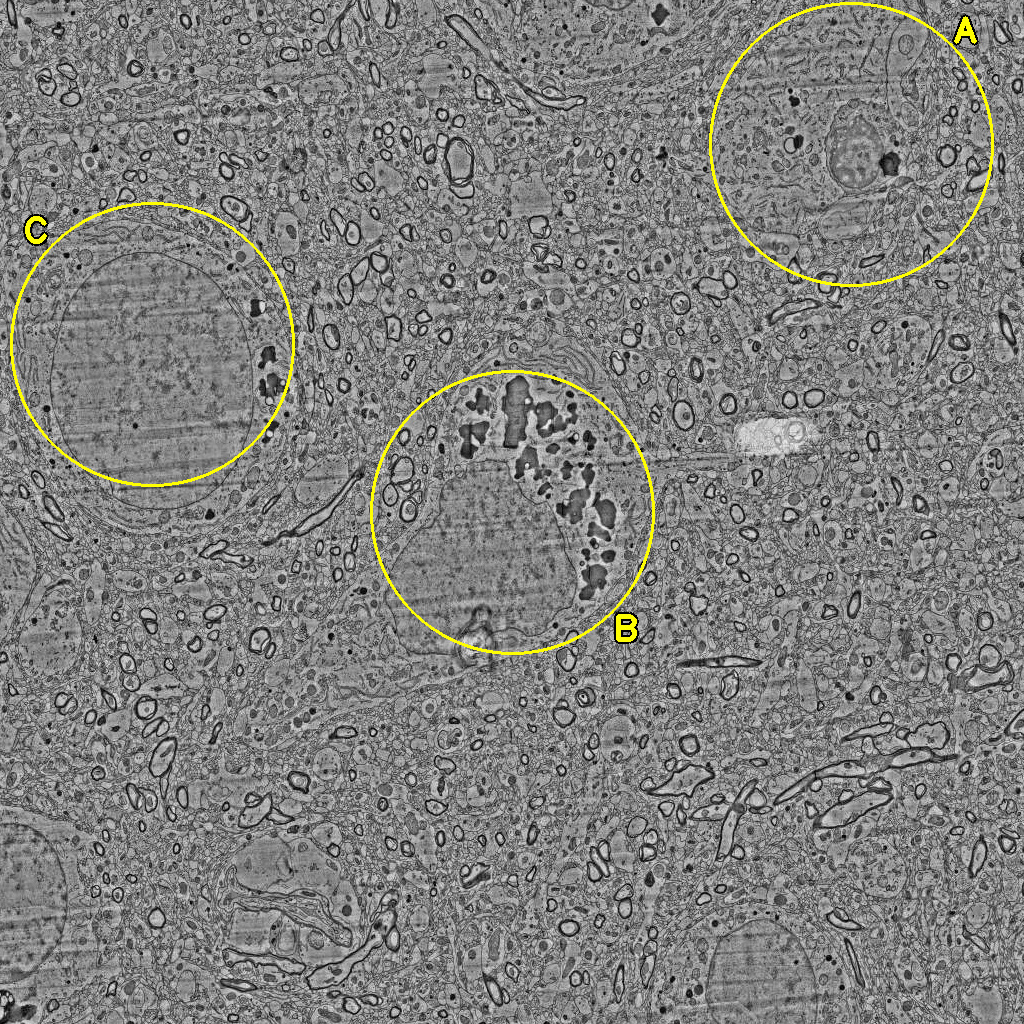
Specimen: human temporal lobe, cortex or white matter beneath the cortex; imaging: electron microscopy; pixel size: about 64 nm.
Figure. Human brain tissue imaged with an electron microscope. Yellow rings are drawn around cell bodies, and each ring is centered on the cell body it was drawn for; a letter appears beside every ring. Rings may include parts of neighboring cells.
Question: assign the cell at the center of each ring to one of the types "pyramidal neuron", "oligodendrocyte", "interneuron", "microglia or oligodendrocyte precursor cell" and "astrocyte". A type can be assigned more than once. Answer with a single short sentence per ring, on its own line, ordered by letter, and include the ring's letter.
Centered in ring A is an oligodendrocyte.
Centered in ring B is an interneuron.
Centered in ring C is a pyramidal neuron.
